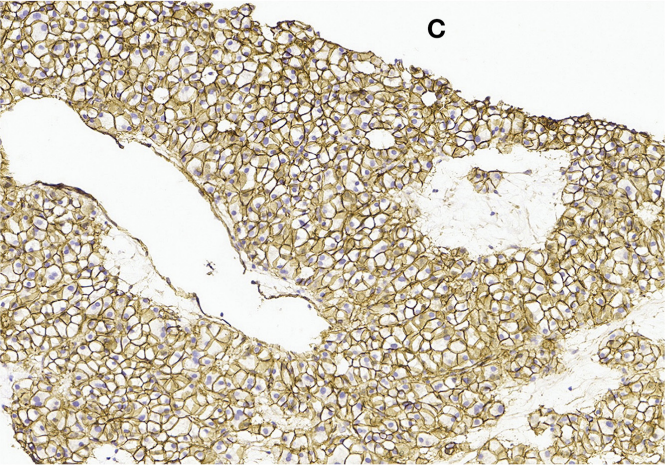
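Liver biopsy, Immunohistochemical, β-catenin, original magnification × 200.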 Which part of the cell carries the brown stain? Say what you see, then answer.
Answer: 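Membrane. Brown stain outlines the borders of each cell in a honeycomb pattern. The nuclei are blue and free of brown stain.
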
